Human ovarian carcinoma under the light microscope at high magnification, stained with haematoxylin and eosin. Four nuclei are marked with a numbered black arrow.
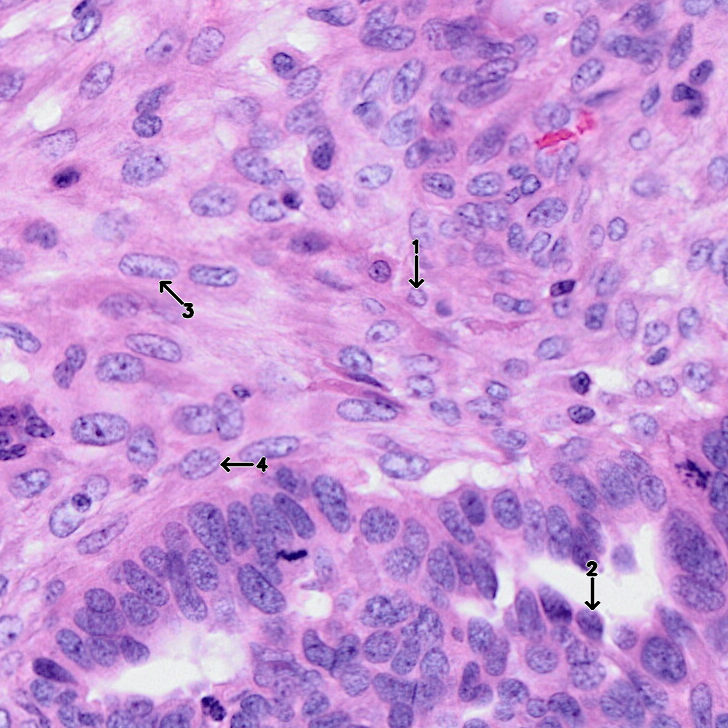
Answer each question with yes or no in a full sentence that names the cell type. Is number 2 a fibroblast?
No, cell 2 is not a fibroblast; a carcinoma cell is correct.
